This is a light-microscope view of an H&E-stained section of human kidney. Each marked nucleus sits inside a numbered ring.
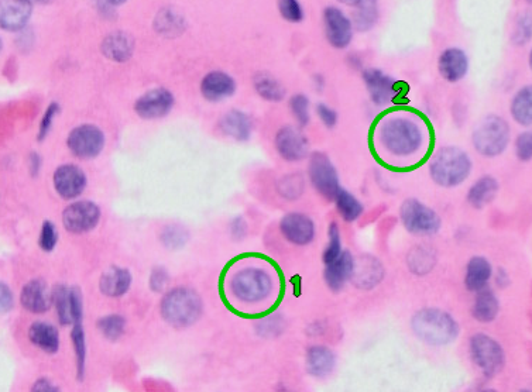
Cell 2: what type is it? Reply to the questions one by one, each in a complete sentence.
The cell pointed out by number 2 is a collecting duct cell.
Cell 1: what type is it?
The marked nucleus 1 is that of a loop of Henle or distal tubule cell.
